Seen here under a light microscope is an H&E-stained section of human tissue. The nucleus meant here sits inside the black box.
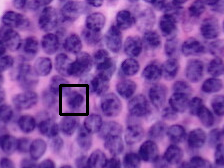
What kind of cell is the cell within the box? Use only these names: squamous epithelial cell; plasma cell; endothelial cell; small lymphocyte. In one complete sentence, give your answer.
It is as a small lymphocyte that the cell within the box is classified.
